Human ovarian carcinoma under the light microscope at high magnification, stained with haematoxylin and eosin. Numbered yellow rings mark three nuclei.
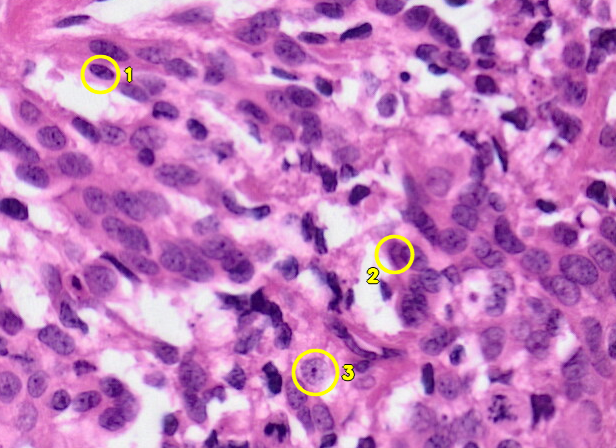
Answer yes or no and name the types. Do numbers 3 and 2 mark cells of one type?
No, cell 3 is a macrophage or monocyte and cell 2 is a carcinoma cell.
